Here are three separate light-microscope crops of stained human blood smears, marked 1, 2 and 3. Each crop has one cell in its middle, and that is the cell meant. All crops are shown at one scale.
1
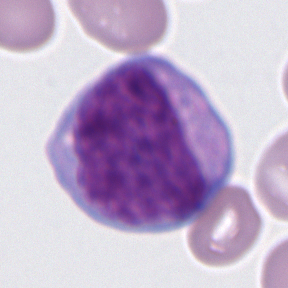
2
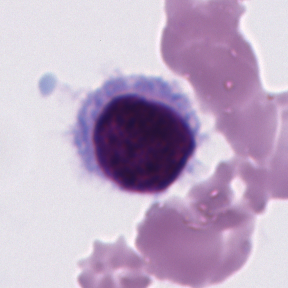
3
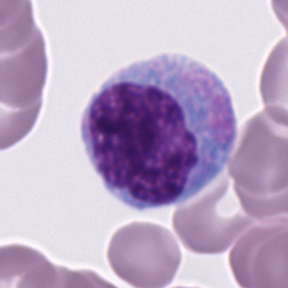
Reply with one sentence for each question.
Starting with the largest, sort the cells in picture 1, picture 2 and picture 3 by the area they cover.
The order is 1, 3, 2, beginning with the largest.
